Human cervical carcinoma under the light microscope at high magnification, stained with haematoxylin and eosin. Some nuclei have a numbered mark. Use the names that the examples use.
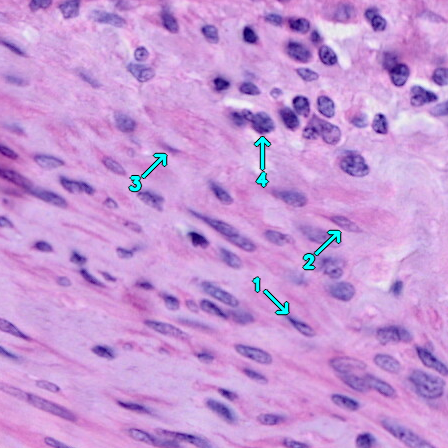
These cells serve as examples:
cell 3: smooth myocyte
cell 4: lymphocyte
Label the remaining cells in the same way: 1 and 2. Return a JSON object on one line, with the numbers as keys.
{"1": "smooth myocyte", "2": "smooth myocyte"}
